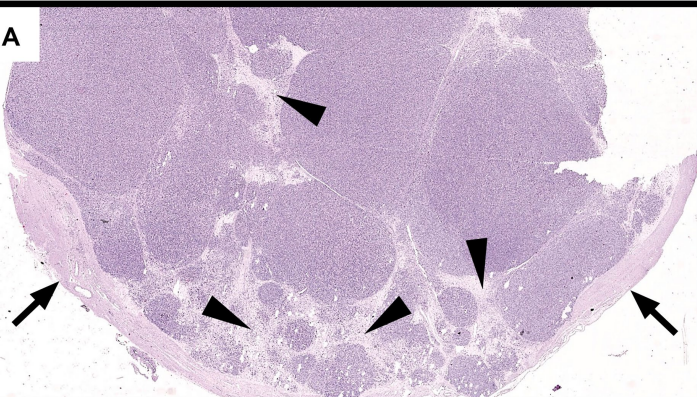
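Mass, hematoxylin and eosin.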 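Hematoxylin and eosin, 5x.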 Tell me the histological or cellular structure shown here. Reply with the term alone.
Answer: highly cellular nodular aggregates of neoplastic cells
